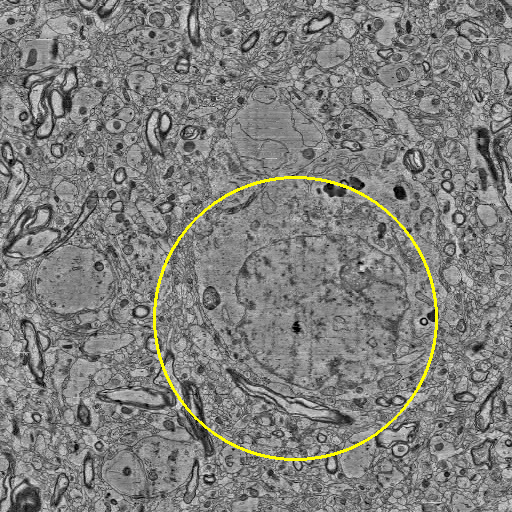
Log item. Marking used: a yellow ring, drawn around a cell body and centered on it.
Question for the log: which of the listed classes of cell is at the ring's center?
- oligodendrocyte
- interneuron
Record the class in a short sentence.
At the center of the ring lies an interneuron.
